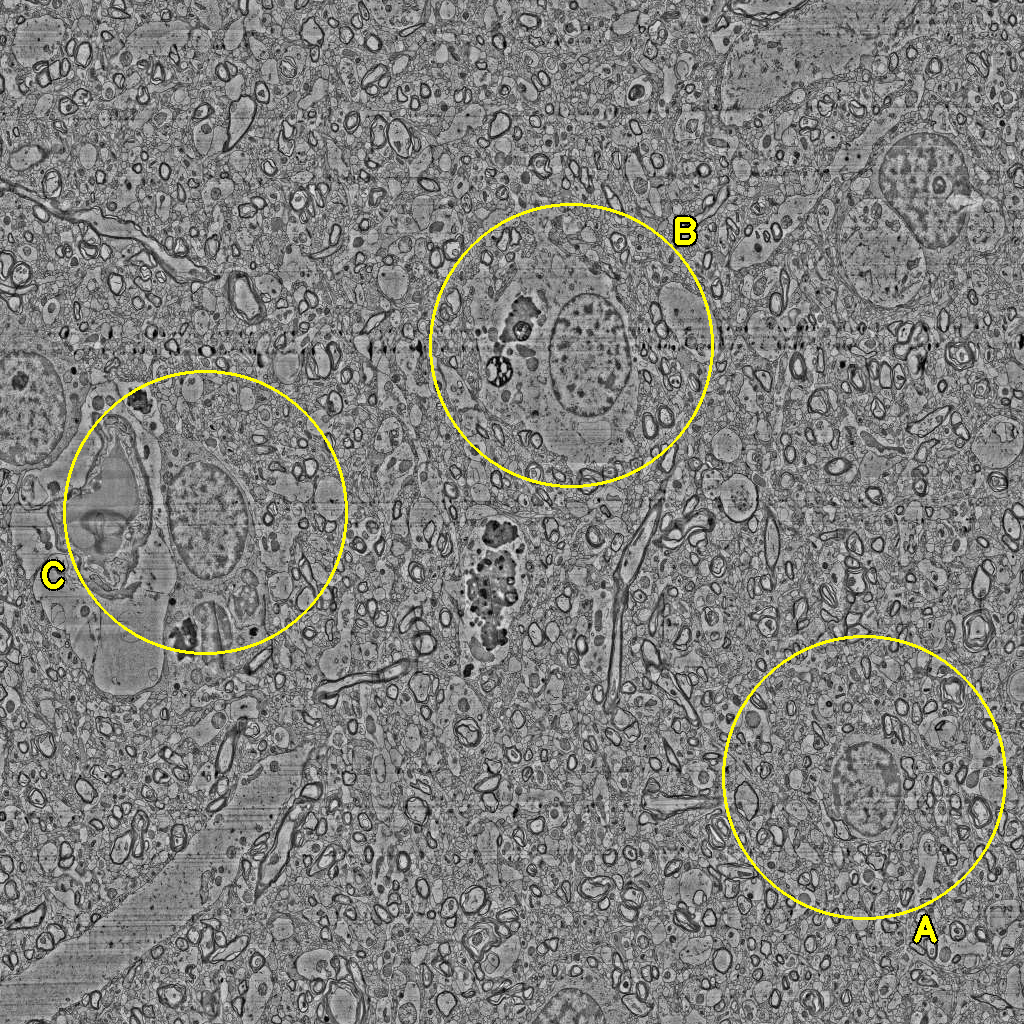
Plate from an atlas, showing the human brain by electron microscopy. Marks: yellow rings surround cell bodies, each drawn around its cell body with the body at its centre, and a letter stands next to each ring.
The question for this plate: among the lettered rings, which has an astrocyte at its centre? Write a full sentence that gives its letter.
Ring B holds at its centre the cell that the question asks about in the picture.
